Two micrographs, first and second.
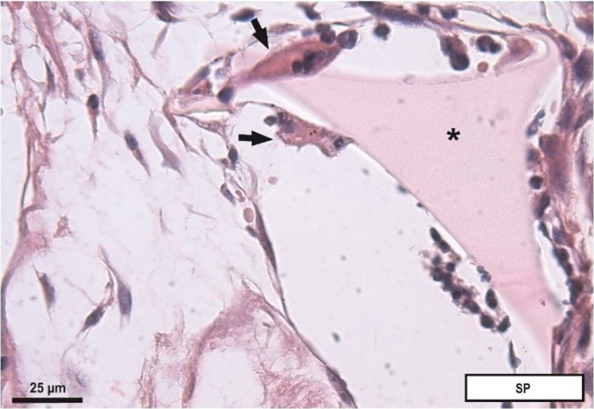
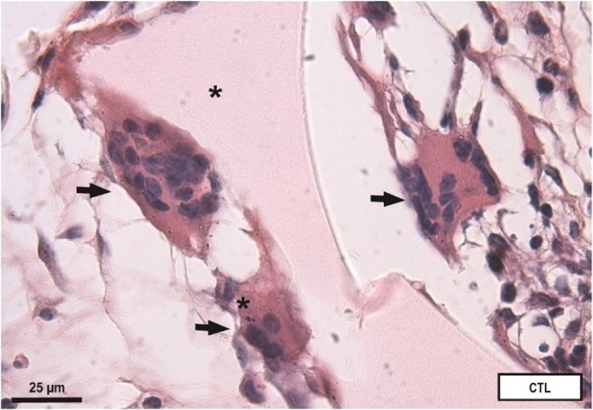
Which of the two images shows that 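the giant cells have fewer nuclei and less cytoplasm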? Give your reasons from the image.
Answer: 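The first image. Second image: the arrowed cells are bulky, with broad pink cytoplasm and many crowded nuclei.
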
